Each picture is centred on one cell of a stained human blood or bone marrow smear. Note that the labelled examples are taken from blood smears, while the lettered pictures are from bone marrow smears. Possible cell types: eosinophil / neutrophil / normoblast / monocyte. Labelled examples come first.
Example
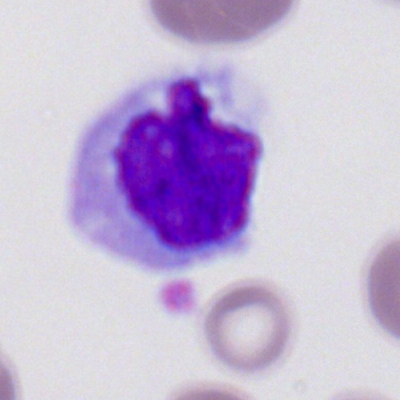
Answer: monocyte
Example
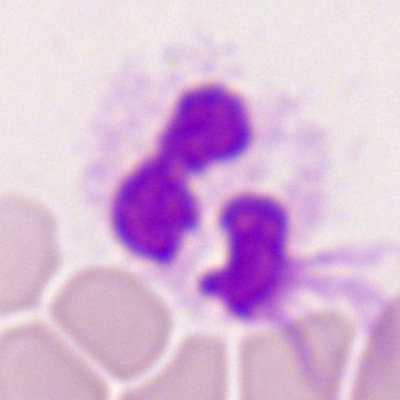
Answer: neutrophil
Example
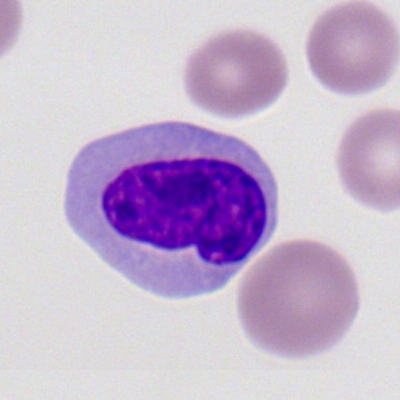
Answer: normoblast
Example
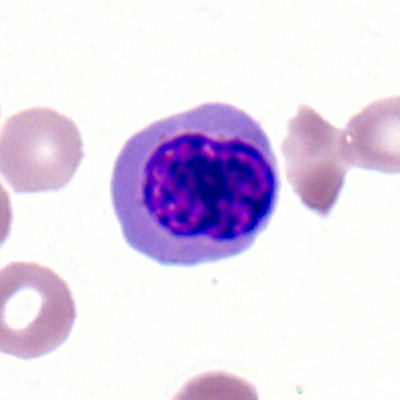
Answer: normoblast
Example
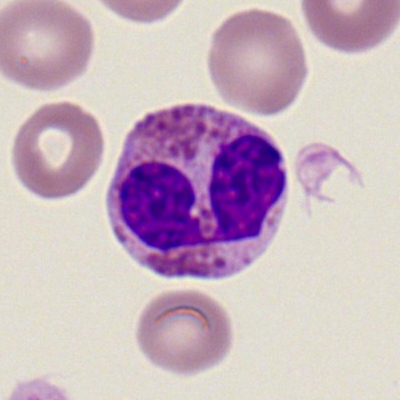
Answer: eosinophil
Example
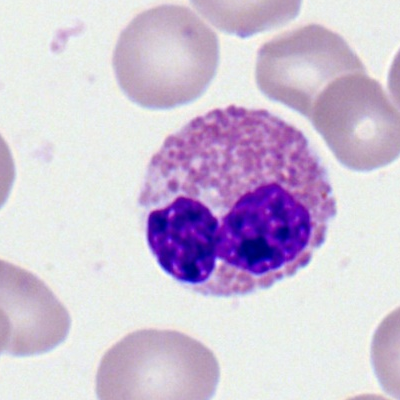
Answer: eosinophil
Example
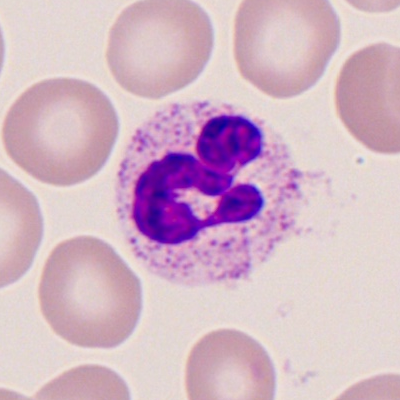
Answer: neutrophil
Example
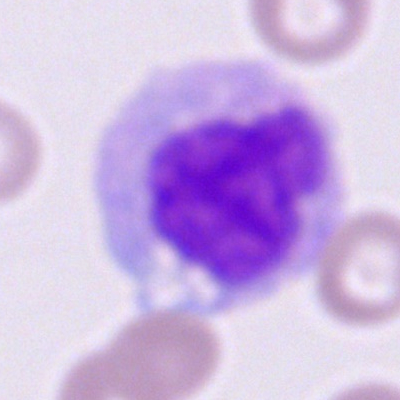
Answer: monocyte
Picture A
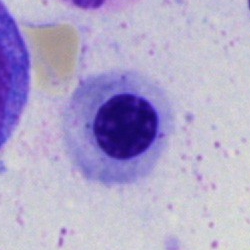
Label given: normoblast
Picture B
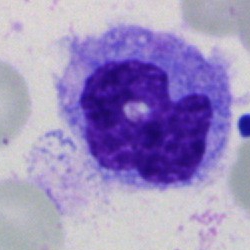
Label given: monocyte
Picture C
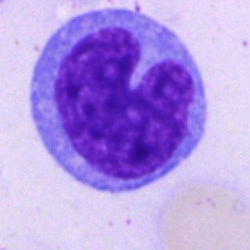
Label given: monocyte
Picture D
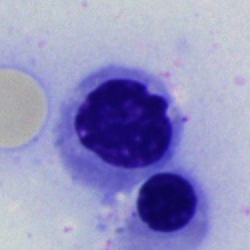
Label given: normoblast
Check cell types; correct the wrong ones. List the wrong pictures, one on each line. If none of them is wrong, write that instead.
No label is wrong.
